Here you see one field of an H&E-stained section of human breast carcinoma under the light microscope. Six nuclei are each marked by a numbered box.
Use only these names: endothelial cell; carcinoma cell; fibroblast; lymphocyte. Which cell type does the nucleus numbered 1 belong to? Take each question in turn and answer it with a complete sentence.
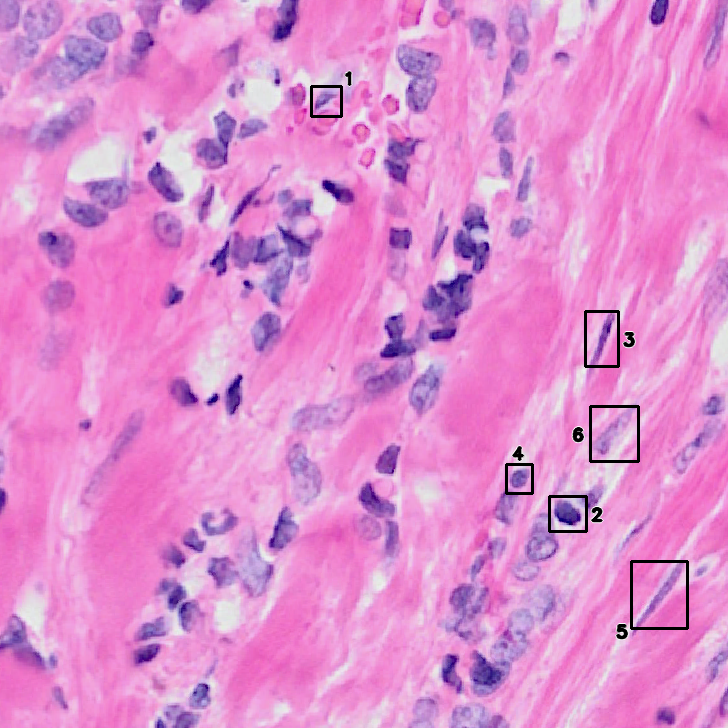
The nucleus labeled 1 belongs to an endothelial cell.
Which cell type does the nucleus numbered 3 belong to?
The marked nucleus 3 is that of a fibroblast.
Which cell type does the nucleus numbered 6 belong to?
Identified as a fibroblast is the cell bearing the number 6.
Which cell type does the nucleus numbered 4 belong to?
The identity of cell 4 is that of a lymphocyte.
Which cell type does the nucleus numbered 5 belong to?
Heads up, the cell numbered 5 is a fibroblast.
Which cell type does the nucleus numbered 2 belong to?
The cell numbered 2 has been identified as a lymphocyte.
